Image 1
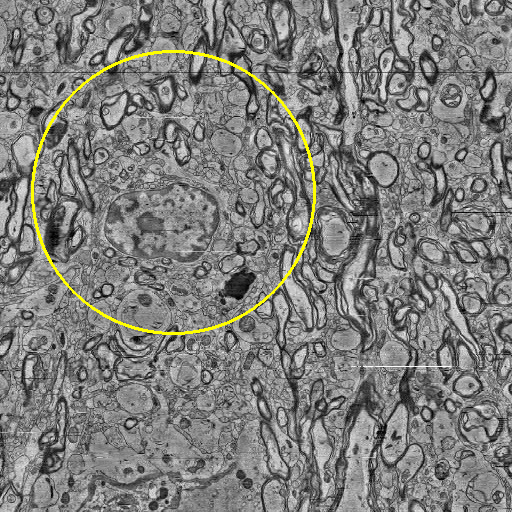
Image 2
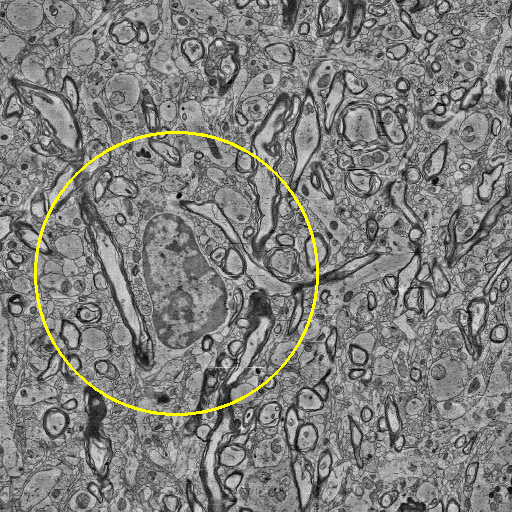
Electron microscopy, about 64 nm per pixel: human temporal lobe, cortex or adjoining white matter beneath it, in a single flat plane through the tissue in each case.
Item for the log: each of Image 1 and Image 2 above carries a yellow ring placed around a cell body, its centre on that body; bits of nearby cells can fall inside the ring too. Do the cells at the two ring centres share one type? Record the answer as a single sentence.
Yes, the two cells at the ring centres in Image 1 and Image 2 share one type.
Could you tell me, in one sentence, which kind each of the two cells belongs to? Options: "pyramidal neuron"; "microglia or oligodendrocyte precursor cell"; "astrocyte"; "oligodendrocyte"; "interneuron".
Both cells are the same kind, each one being a microglial cell or oligodendrocyte precursor cell.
